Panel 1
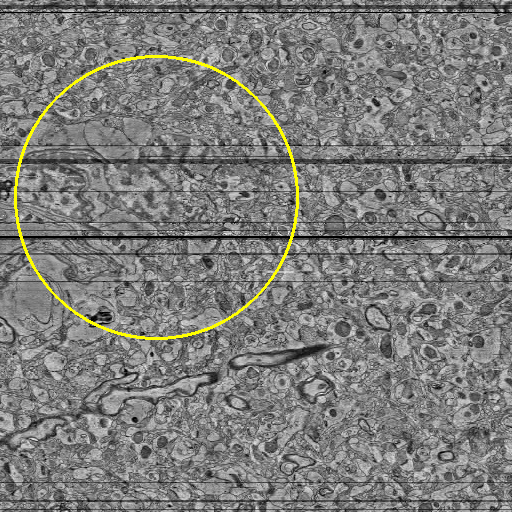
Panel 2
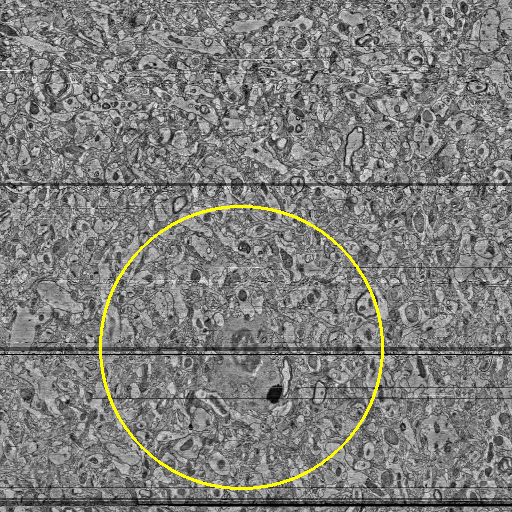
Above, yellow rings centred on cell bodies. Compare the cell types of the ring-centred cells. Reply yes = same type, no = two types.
yes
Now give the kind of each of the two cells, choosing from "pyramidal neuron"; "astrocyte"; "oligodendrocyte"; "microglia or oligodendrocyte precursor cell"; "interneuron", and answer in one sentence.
The first and the second cell are each an oligodendrocyte.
